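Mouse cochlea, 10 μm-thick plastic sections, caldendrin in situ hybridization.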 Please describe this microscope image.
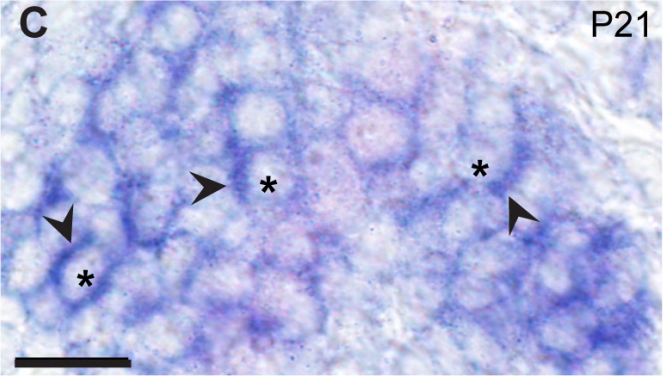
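This section through the spiral ganglion shows many round neuron cell bodies packed closely together. The cell bodies are paler in their centres, and several show a rounded central region. Dense blue-purple stain forms rims and crescents hugging the outer edges of many cell bodies. The stain is patchy and stronger in some regions, particularly toward one side of the field, where it merges into broad dark areas. Between the stained rims the tissue appears lighter and granular.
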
